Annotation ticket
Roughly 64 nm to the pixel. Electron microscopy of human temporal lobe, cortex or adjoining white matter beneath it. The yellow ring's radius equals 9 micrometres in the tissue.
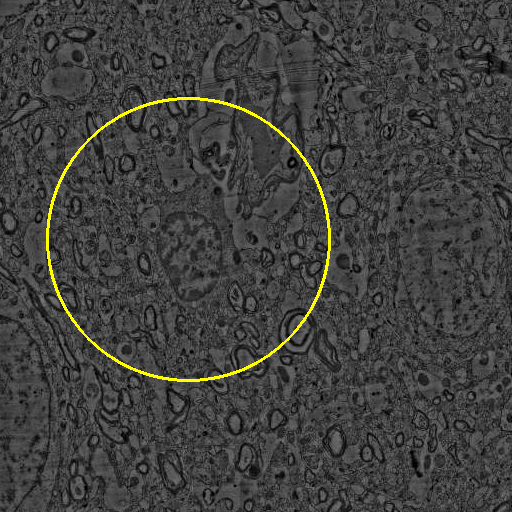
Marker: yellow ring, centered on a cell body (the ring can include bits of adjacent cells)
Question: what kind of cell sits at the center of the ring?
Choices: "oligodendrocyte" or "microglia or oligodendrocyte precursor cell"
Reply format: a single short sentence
The ring is centered on an oligodendrocyte.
